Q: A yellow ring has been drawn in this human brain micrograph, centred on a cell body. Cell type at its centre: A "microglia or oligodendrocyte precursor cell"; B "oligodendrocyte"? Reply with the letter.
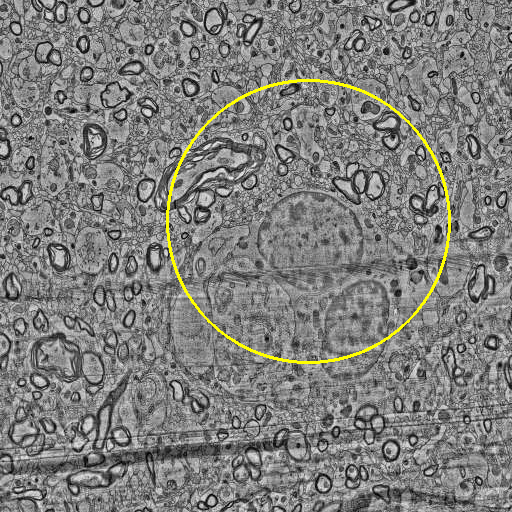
B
